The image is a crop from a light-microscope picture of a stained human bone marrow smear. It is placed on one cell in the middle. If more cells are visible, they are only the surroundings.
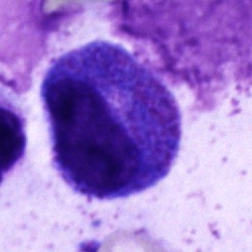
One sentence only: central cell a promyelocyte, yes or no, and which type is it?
Yes, the identity of the central cell is that of a promyelocyte.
